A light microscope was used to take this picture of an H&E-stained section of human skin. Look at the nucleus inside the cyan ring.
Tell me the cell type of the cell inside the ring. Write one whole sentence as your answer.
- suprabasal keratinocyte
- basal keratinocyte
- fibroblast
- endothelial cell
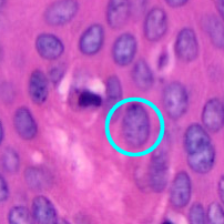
With respect to cell type, the cell inside the ring is a basal keratinocyte.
